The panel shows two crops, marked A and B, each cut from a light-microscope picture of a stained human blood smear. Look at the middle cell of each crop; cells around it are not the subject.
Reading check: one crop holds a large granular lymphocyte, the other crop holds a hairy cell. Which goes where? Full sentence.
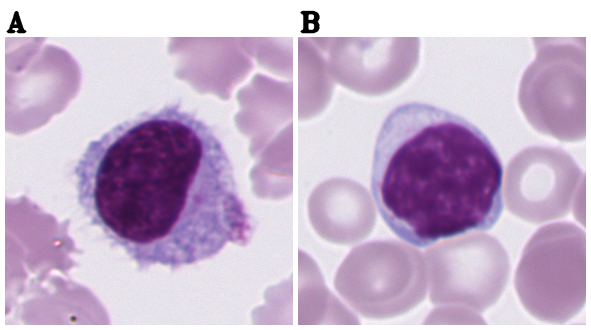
Crop A and crop B are a hairy cell and a large granular lymphocyte, in that order.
